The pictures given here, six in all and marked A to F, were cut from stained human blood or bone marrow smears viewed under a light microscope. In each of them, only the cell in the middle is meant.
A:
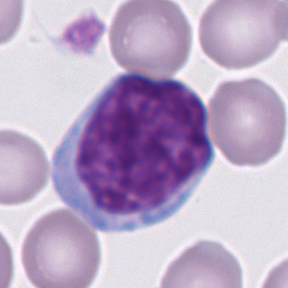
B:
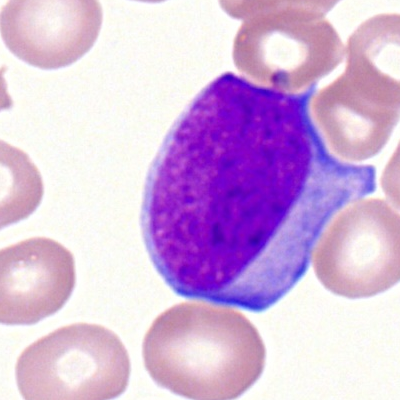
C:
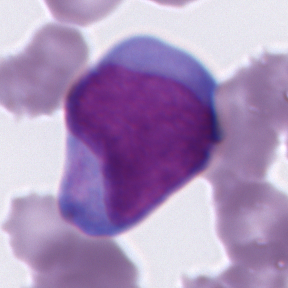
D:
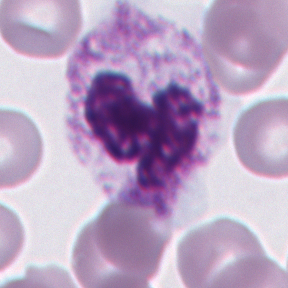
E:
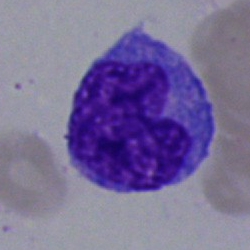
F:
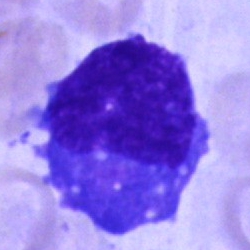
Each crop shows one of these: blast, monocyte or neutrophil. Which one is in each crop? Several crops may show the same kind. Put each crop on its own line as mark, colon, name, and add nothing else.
A: blast
B: blast
C: blast
D: neutrophil
E: monocyte
F: blast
